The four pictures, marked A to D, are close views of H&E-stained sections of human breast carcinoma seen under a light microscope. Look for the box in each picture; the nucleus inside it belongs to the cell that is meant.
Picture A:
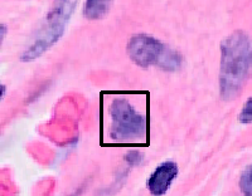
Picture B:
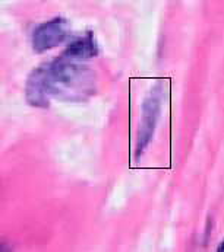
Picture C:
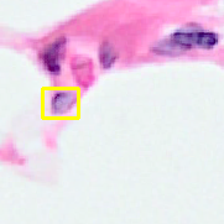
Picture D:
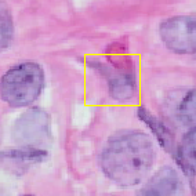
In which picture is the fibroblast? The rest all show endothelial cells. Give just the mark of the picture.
B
